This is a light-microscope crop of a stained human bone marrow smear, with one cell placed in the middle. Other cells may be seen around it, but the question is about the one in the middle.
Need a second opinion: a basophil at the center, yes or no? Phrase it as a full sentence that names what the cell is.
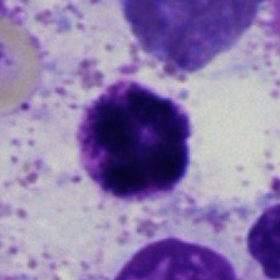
Yes, as regards the cell in the middle, it is a basophil.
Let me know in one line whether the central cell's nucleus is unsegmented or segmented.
In this cell the nucleus is a solitary compact mass, round, oval or kidney-shaped.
